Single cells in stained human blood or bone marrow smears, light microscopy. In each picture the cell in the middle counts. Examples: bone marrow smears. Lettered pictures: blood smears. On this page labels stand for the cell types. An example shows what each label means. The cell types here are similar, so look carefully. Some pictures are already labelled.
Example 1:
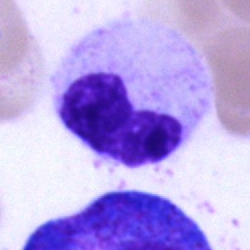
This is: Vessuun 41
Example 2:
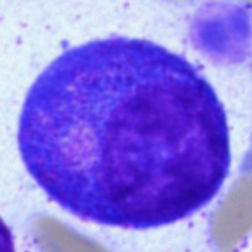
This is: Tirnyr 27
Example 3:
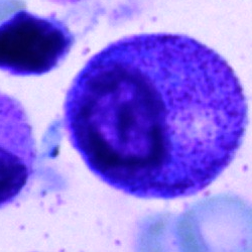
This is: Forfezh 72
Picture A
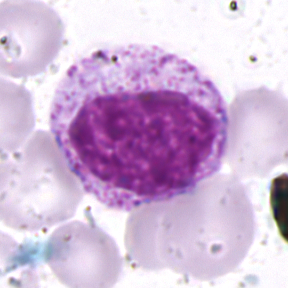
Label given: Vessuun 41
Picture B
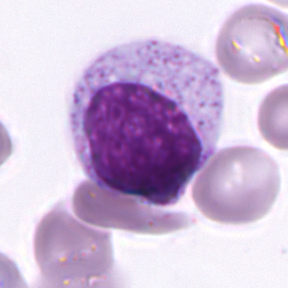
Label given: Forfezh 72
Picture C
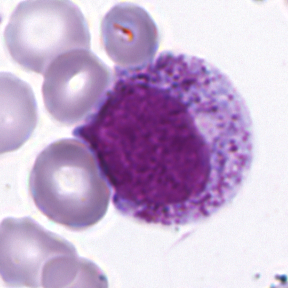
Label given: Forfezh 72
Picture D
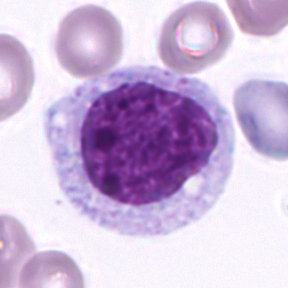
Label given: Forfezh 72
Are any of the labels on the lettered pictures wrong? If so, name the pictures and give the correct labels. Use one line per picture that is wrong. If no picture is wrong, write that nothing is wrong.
A: Forfezh 72, not Vessuun 41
